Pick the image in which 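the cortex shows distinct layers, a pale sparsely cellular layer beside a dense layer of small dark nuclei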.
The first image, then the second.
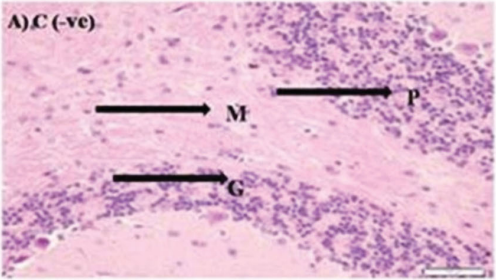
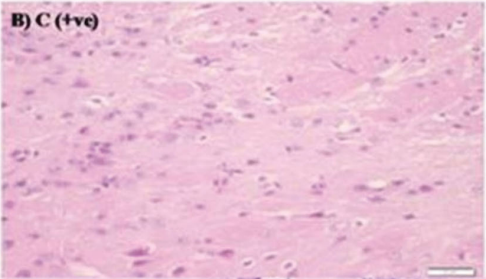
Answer: The first image.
